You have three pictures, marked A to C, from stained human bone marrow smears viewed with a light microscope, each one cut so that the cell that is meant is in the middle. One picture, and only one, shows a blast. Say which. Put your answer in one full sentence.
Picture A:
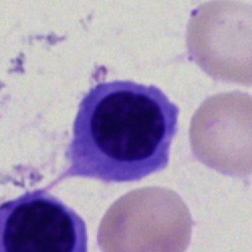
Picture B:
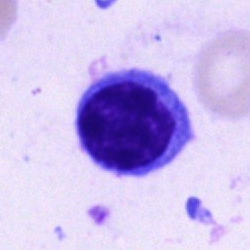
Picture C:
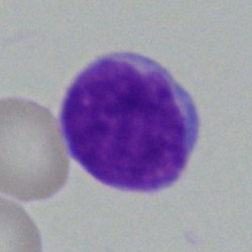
Picture C shows the blast.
